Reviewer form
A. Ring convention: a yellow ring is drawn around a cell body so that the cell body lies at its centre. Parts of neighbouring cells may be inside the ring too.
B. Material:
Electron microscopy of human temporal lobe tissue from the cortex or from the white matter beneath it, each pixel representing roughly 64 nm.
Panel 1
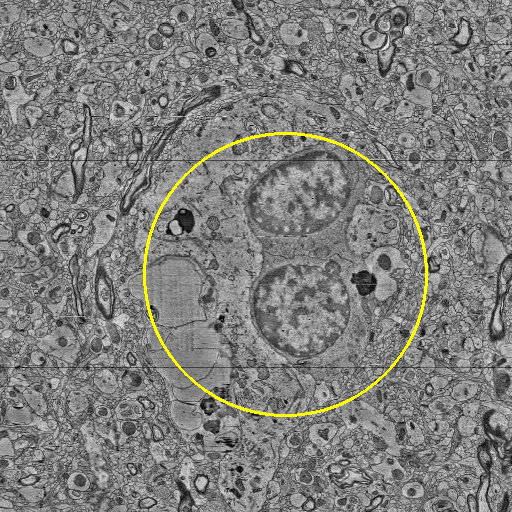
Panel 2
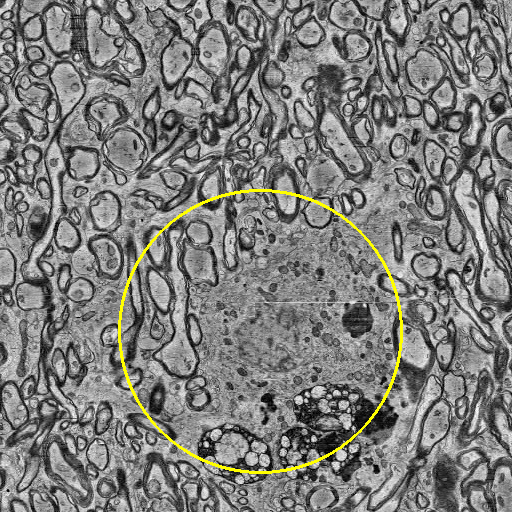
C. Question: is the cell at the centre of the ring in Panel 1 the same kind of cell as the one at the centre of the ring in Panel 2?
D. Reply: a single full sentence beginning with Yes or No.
No, the cells in Panel 1 and Panel 2 are two kinds of cell.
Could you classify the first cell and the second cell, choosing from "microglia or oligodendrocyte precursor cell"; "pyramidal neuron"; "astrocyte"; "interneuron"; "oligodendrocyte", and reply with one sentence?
The second cell is an astrocyte, while the first is an oligodendrocyte.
